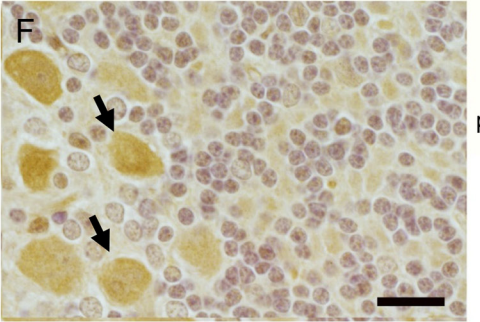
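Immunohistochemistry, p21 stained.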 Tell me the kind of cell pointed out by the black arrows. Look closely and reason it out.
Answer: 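The arrows point to large oval cell bodies with brown cytoplasm. These cell bodies are several times larger than the surrounding small round cells. The large cells lie in a row along the left edge of a dense layer of small round nuclei. So: Purkinje cells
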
